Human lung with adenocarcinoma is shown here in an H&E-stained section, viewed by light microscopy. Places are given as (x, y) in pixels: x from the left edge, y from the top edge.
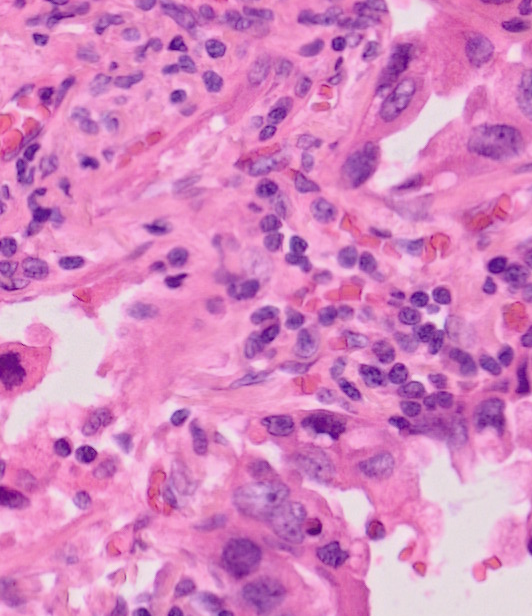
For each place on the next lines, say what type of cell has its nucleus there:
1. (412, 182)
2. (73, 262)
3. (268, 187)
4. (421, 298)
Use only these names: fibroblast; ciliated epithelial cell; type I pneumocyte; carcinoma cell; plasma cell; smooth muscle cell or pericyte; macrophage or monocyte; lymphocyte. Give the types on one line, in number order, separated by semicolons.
carcinoma cell; lymphocyte; lymphocyte; lymphocyte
